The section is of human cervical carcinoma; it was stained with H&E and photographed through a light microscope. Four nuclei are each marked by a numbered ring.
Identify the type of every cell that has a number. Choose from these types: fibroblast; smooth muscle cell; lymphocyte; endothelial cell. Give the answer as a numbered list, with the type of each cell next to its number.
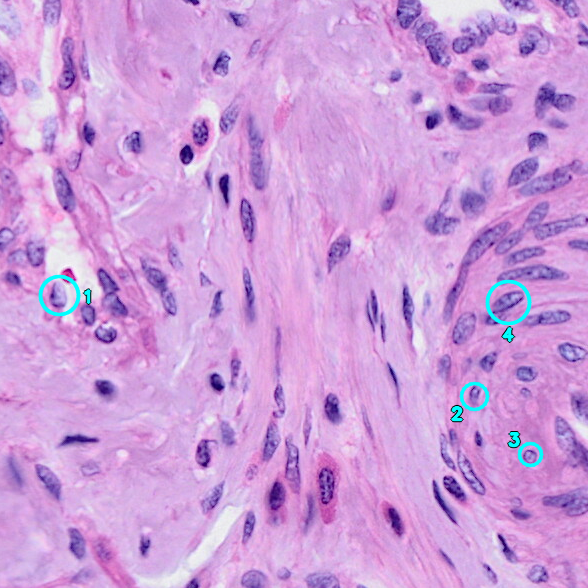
1. endothelial cell
2. smooth muscle cell
3. smooth muscle cell
4. smooth muscle cell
